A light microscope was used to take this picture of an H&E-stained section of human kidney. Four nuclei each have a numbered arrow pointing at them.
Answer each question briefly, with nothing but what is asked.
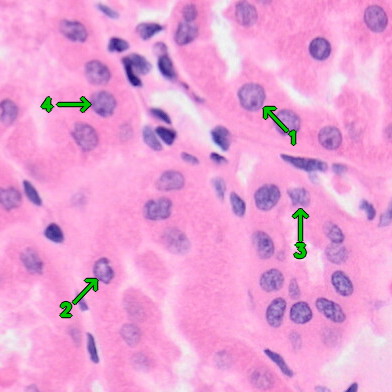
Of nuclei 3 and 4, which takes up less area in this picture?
3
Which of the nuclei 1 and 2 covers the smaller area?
2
